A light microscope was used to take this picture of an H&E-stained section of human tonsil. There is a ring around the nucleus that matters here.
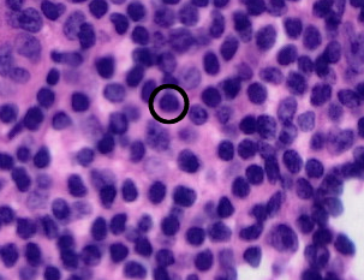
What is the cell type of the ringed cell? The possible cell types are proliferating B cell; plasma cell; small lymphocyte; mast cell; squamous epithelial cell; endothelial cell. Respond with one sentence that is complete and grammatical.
As far as its identity is concerned, the ringed cell is a small lymphocyte.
